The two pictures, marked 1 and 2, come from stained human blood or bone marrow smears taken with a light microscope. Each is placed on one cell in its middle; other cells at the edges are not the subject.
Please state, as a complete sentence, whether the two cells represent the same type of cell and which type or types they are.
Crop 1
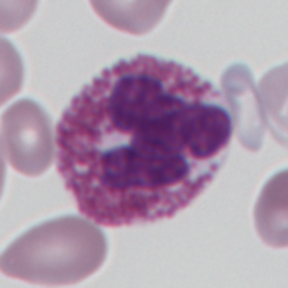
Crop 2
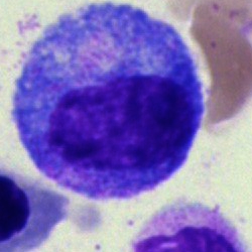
No, what crop 1 shows is an eosinophil, and what crop 2 shows is a promyelocyte.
